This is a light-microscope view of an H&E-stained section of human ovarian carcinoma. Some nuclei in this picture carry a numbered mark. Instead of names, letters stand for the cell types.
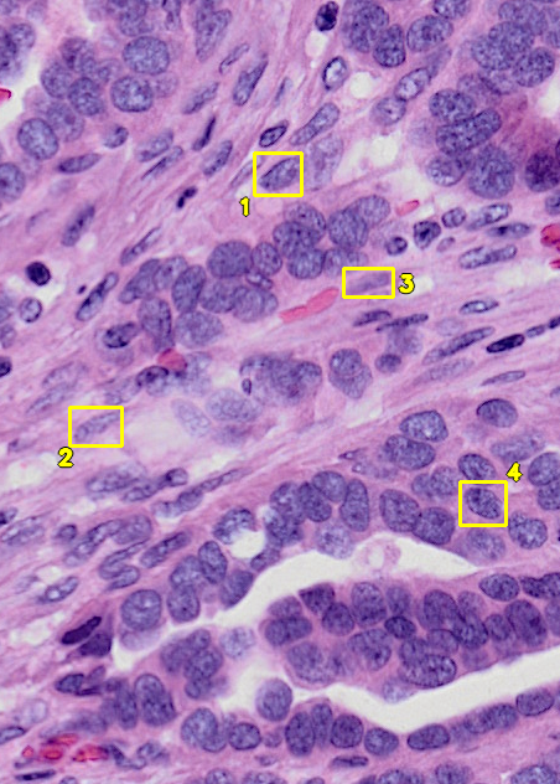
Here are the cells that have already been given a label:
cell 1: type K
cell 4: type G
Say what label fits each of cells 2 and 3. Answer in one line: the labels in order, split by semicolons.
type K; type K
